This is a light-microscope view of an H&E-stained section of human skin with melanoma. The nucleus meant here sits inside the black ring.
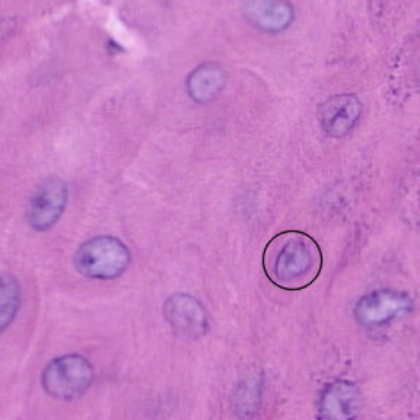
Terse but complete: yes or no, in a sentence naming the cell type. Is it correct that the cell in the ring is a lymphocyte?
No, the cell in the ring is termed a keratinocyte, not a lymphocyte.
